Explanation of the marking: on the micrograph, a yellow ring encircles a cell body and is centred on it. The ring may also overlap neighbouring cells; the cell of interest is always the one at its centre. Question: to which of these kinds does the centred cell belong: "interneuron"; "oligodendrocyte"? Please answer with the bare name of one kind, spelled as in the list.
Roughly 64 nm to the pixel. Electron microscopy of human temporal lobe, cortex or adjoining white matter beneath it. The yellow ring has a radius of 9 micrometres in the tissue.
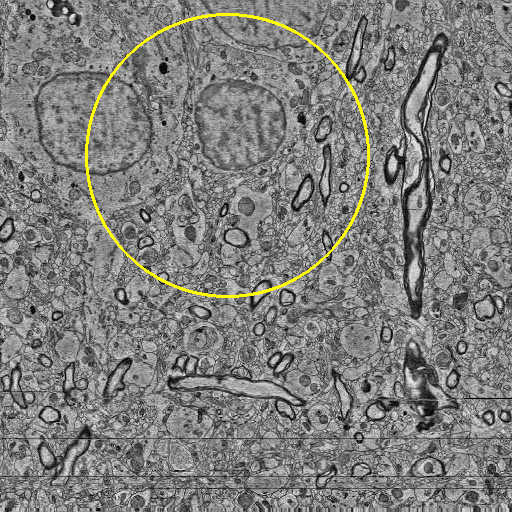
oligodendrocyte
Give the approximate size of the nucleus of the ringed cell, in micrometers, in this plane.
The nucleus comes to roughly 6 micrometres across in this plane.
